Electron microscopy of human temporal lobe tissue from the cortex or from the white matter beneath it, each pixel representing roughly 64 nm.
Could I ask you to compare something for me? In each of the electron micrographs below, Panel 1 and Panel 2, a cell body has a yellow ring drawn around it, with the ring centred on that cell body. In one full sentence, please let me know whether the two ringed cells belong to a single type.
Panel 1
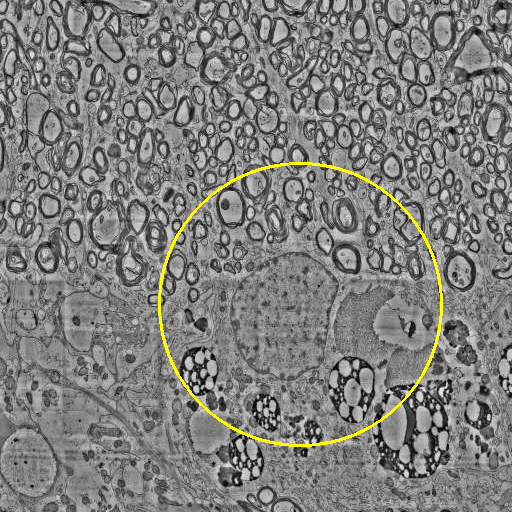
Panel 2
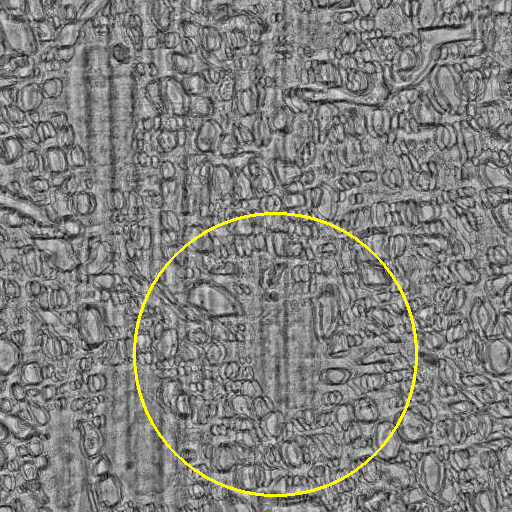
No, the two cells at the centres of the rings are of two types.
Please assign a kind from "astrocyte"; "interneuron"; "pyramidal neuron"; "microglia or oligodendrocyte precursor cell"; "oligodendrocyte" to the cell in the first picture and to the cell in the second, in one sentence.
In the first picture we have an astrocyte, and in the second, an oligodendrocyte.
